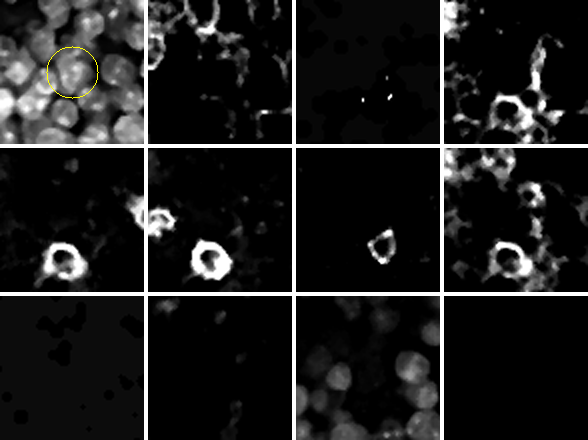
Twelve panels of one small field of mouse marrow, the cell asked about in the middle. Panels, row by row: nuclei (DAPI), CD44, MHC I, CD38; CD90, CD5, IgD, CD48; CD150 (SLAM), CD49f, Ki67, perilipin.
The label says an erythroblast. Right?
Right.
